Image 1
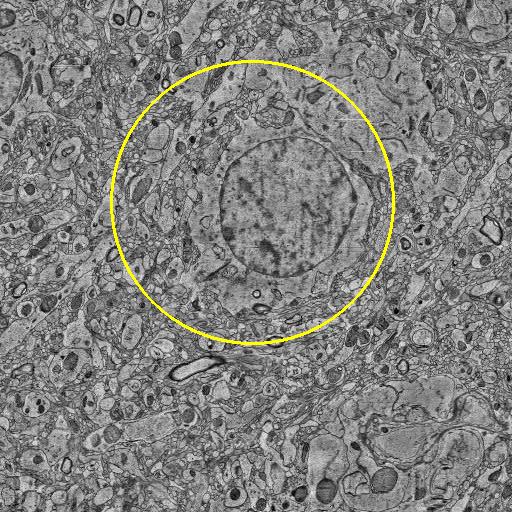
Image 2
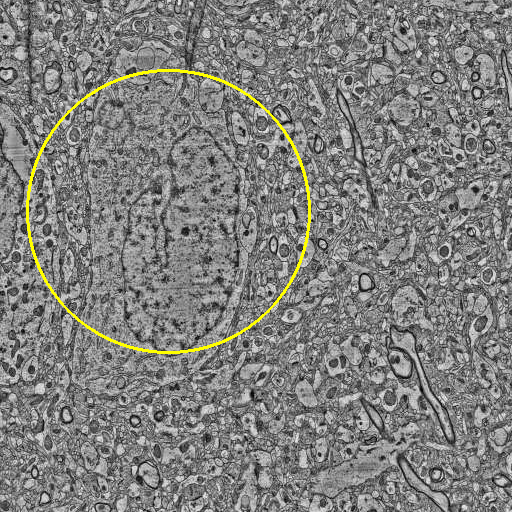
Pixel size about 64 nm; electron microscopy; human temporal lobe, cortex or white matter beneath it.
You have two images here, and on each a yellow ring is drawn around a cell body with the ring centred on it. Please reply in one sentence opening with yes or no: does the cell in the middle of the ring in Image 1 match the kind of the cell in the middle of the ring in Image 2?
No, the two images show cells of two kinds at the centres of their rings.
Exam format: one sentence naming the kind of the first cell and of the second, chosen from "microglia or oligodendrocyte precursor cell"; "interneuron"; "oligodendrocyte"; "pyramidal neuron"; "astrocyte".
The first picture's cell is an astrocyte, and the second picture's cell is an interneuron.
